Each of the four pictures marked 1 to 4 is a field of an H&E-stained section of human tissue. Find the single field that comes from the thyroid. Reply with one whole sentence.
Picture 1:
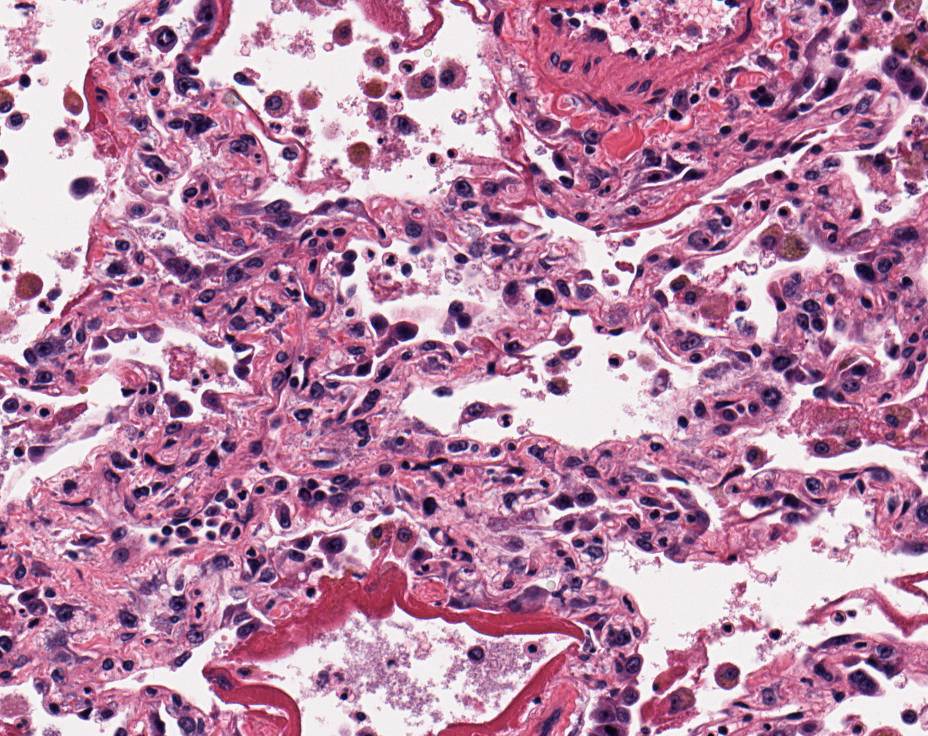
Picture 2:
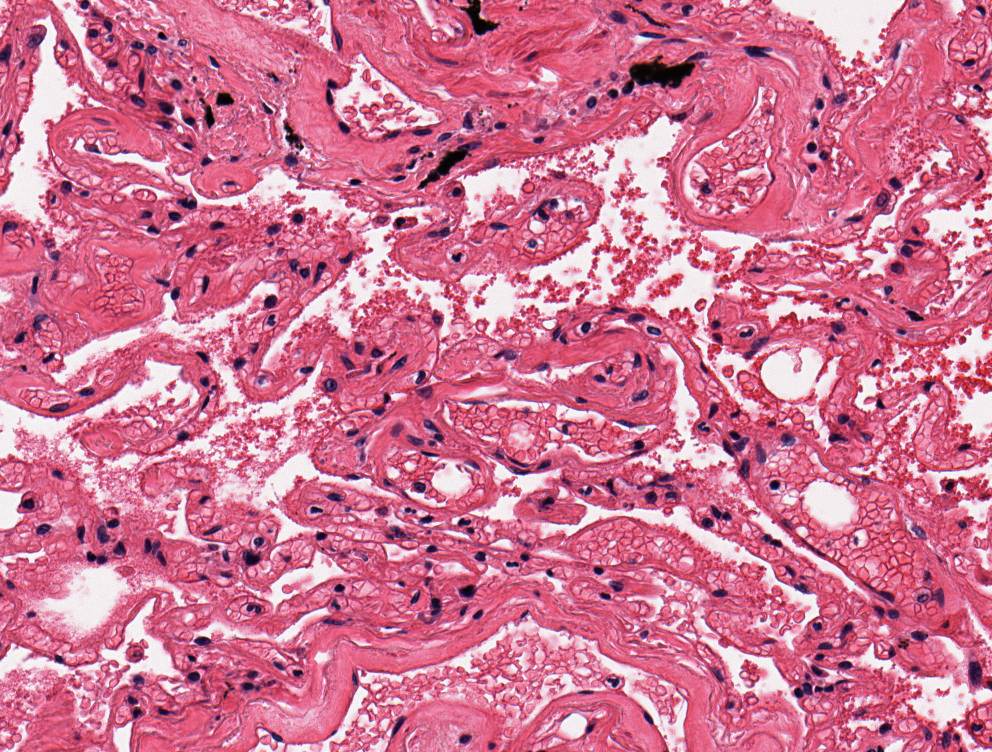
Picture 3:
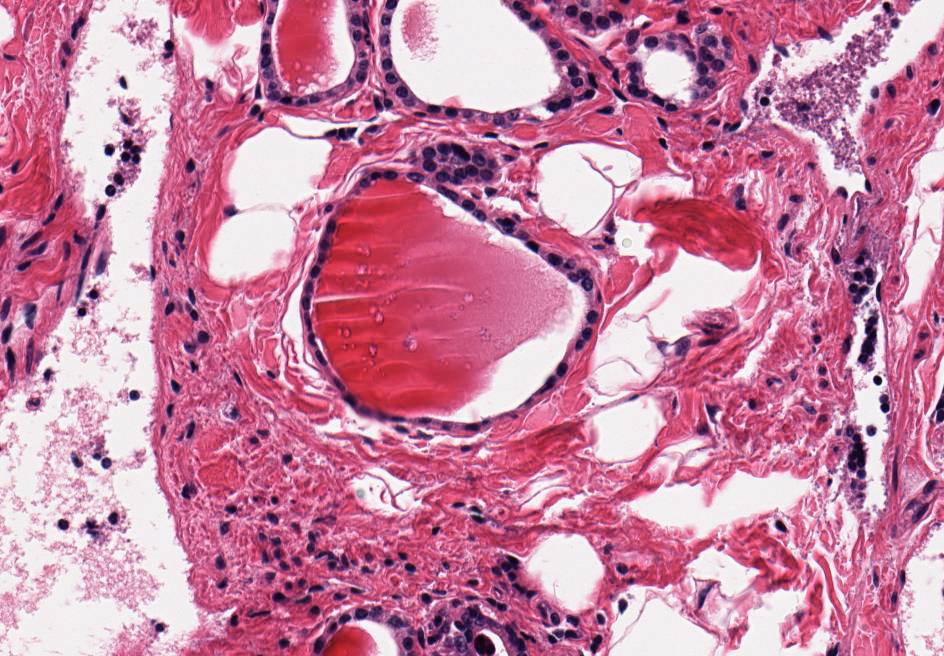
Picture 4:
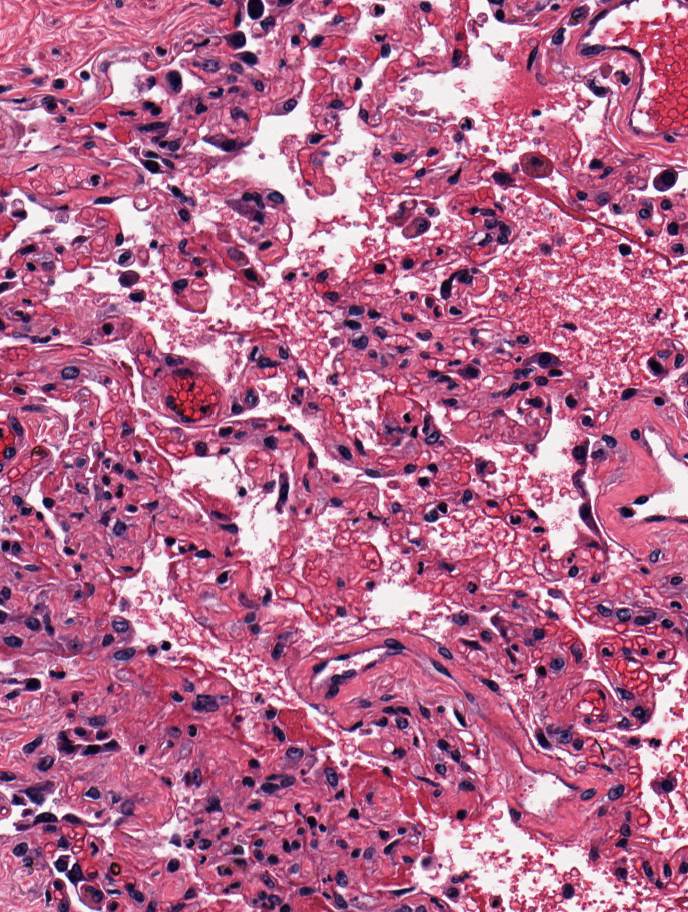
The one that comes from the thyroid is picture 3.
